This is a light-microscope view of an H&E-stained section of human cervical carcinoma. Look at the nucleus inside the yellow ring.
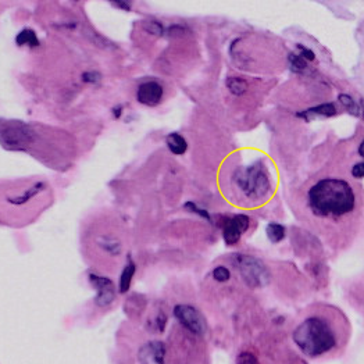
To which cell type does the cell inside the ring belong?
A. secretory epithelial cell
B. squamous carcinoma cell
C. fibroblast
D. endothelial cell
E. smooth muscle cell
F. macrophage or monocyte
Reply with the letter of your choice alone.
F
